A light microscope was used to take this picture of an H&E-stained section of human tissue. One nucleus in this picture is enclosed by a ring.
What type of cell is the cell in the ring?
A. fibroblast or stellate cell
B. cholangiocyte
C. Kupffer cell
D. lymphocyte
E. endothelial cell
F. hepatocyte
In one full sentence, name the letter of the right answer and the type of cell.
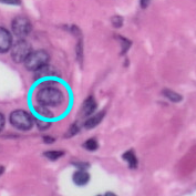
Option B gets it right: the cell in the ring is a cholangiocyte.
